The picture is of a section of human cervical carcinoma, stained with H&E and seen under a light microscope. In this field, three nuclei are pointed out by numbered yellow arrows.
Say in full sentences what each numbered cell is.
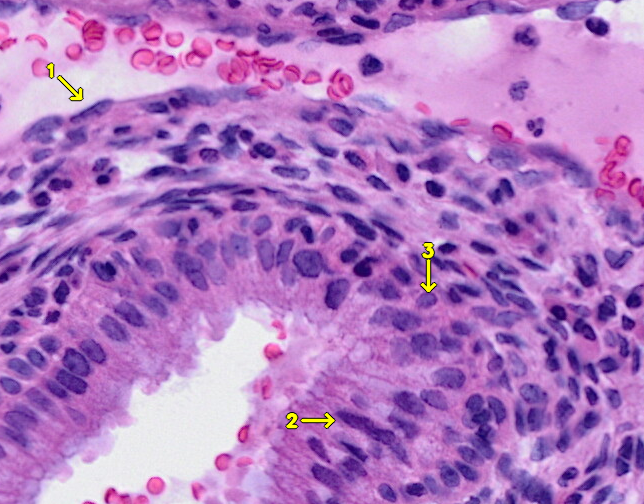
Cell 1 is an endothelial cell, cell 2 is a secretory epithelial cell and cell 3 is a secretory epithelial cell.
